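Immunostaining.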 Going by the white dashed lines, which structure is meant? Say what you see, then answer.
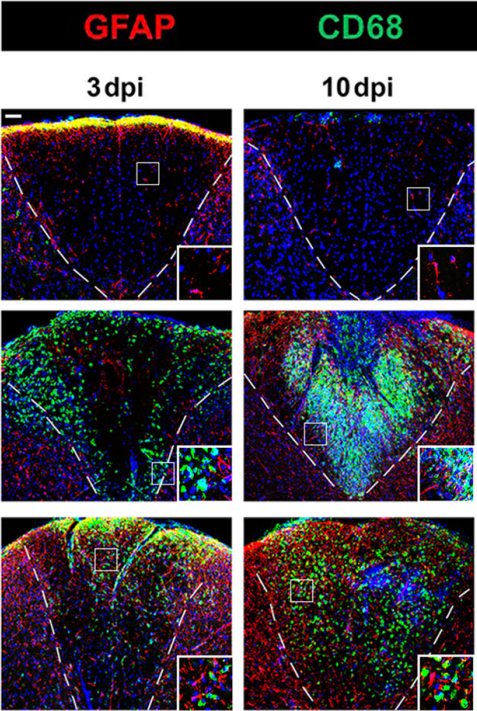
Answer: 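Dorsal columns. They enclose a wedge-shaped region at the dorsal midline of the cross-section. In several sections the dense green and blue cell clusters lie within this wedge.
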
